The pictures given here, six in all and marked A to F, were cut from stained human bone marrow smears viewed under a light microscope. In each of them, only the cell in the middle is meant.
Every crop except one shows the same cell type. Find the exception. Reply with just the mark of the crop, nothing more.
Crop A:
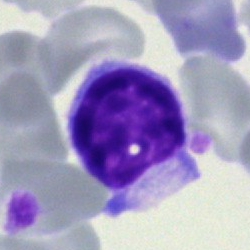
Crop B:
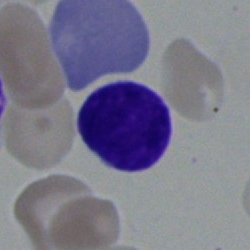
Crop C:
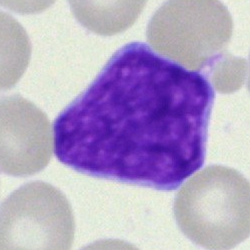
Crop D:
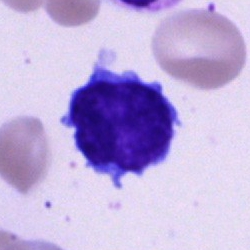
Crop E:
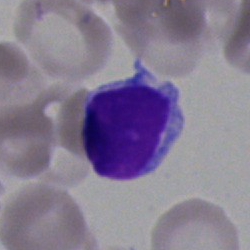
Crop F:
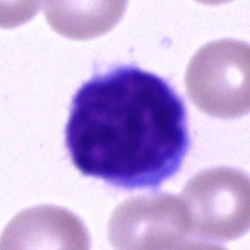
C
